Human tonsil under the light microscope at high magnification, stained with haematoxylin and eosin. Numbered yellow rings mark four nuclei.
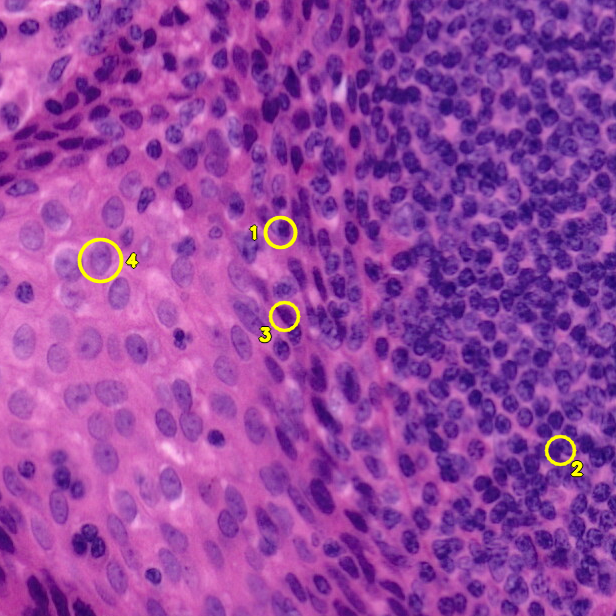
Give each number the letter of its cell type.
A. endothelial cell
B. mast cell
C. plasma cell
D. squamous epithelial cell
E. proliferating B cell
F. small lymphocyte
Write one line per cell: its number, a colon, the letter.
1: D
2: F
3: D
4: D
